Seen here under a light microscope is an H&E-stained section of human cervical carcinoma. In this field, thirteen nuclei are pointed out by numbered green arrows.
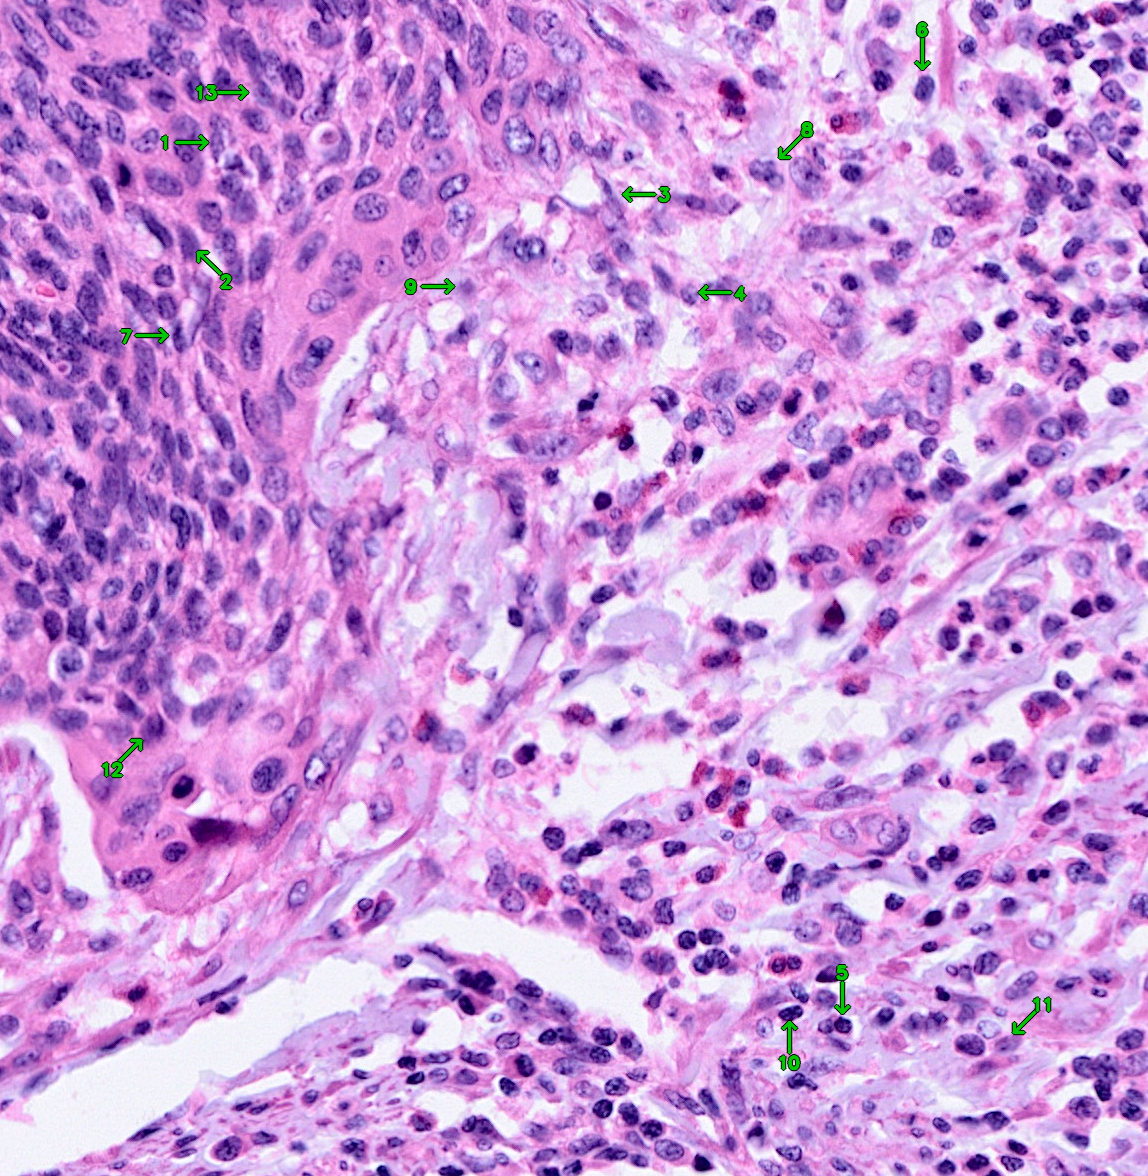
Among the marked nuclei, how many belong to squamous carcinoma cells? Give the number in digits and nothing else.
5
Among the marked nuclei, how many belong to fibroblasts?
2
